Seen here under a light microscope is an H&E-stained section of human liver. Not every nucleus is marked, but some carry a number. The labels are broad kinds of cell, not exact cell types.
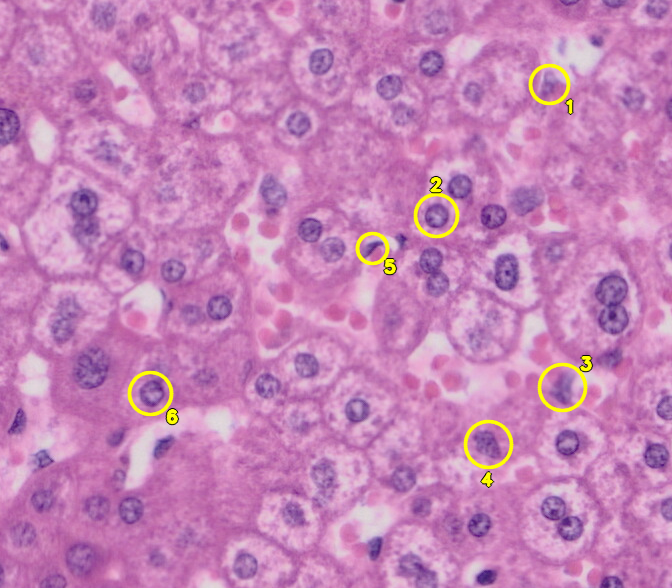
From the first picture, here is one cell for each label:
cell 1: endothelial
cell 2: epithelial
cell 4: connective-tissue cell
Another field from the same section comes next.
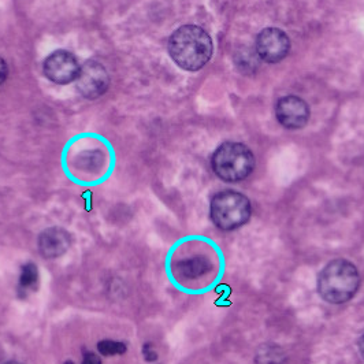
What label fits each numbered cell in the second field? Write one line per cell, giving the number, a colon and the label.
1: endothelial
2: connective-tissue cell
